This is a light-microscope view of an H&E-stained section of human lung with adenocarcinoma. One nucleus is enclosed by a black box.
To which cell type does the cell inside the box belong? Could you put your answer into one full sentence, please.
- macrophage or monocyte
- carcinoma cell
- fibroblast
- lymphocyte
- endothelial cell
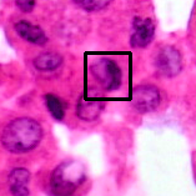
With respect to cell type, the cell inside the box is a macrophage or monocyte.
